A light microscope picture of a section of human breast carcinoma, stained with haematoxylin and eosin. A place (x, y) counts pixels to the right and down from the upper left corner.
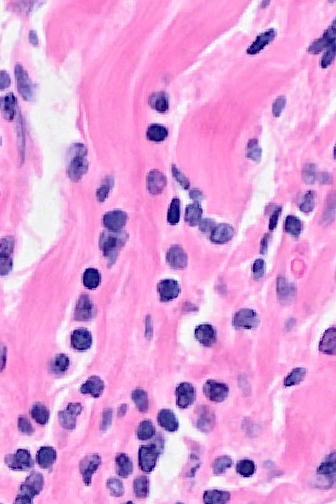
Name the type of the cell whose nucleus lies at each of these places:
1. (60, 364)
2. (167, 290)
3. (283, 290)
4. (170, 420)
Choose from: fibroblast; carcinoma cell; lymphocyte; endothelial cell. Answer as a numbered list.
1. lymphocyte
2. lymphocyte
3. endothelial cell
4. lymphocyte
